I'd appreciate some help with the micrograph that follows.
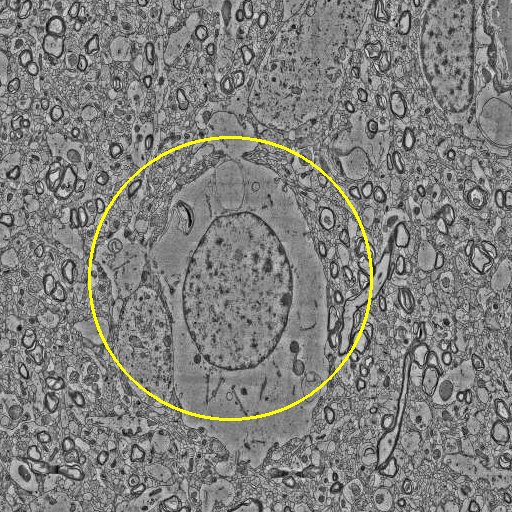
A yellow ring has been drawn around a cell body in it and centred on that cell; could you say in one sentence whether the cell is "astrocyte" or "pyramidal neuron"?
It is an astrocyte at the centre of the ring.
